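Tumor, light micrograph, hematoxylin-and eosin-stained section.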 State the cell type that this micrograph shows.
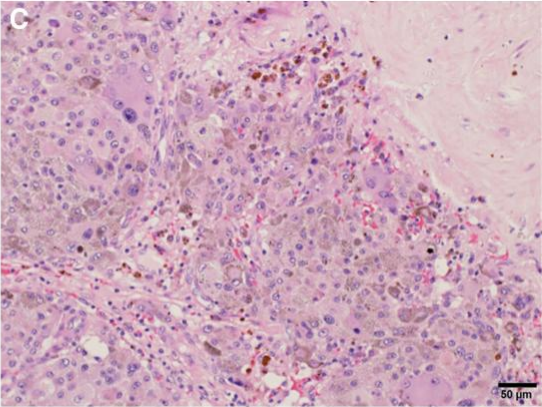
Large polygonal cells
